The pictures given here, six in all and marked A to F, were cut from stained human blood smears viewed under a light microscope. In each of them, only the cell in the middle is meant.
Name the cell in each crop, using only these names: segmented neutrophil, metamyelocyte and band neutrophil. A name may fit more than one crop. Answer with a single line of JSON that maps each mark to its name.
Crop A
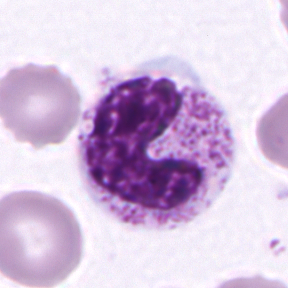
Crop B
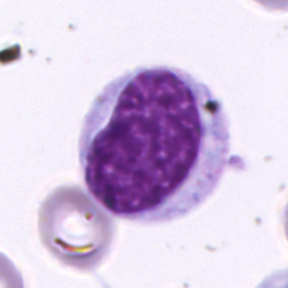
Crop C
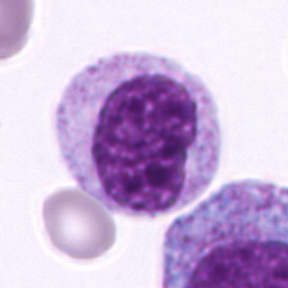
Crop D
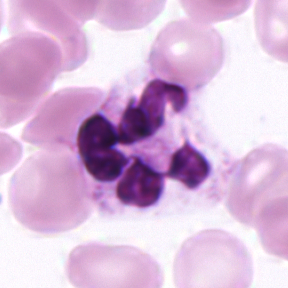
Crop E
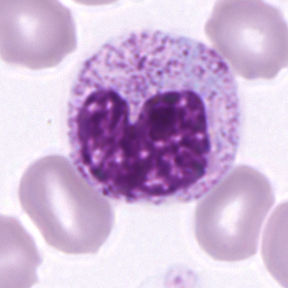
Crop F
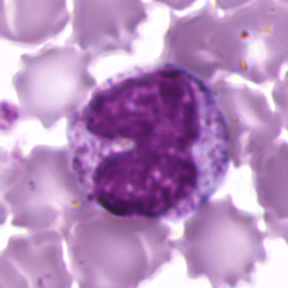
{"A": "band neutrophil", "B": "metamyelocyte", "C": "metamyelocyte", "D": "segmented neutrophil", "E": "metamyelocyte", "F": "band neutrophil"}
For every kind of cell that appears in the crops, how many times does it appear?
metamyelocyte: 3
band neutrophil: 2
segmented neutrophil: 1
